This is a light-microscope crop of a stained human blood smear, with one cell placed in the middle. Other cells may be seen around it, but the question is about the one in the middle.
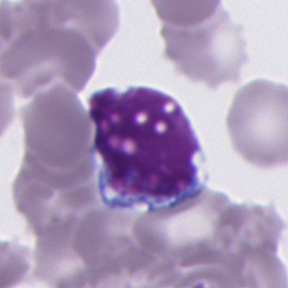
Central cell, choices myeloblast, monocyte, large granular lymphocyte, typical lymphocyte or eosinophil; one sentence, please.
The central cell in this smear crop is a typical lymphocyte.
